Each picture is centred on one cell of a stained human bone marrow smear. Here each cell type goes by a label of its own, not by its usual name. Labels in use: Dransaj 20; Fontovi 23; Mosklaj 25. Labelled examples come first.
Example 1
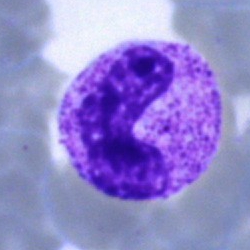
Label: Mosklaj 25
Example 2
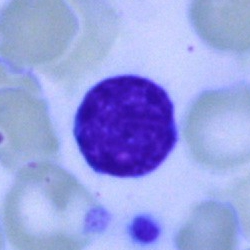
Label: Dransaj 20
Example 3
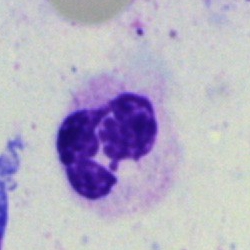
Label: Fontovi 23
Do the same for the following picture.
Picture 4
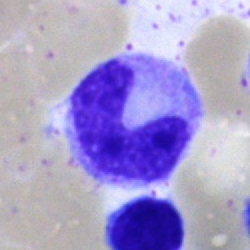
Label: Mosklaj 25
